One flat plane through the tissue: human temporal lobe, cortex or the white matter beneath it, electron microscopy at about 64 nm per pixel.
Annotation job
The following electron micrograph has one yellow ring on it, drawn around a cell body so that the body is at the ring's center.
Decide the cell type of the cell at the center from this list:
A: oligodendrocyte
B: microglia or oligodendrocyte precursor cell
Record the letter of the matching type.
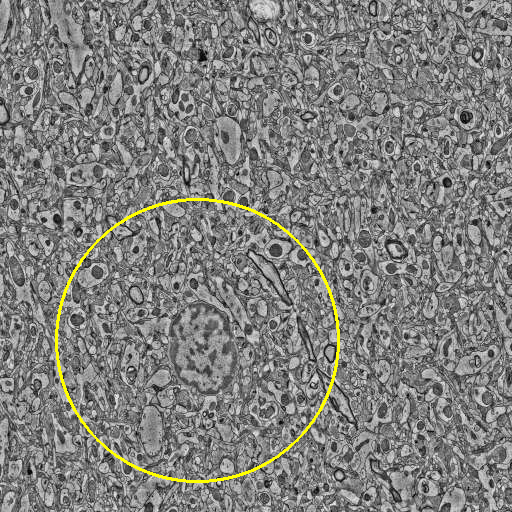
A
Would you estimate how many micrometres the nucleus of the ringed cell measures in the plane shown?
The ringed cell's nucleus measures approximately 6 by 4 micrometres in this plane.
